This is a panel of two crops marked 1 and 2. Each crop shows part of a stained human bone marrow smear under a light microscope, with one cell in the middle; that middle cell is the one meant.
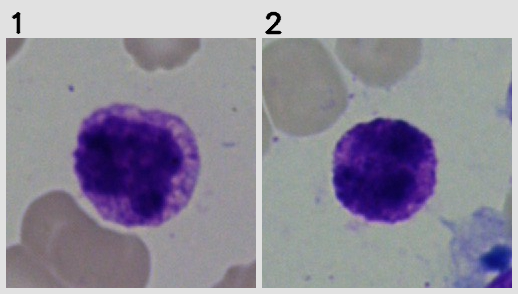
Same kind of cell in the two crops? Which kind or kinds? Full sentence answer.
Yes, the cells at the middle of both crops are basophils.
